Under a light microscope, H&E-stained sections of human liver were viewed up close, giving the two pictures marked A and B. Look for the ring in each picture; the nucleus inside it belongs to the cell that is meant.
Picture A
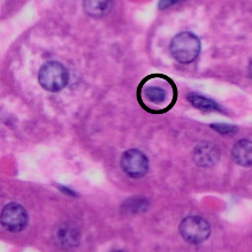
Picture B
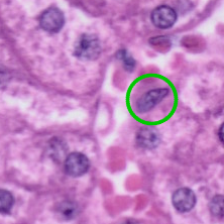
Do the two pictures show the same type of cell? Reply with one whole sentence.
No; the cell in picture A is a lymphocyte, while the one in picture B is a Kupffer cell.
